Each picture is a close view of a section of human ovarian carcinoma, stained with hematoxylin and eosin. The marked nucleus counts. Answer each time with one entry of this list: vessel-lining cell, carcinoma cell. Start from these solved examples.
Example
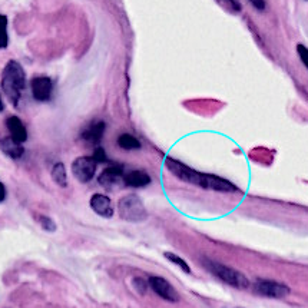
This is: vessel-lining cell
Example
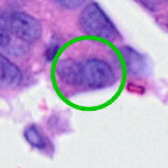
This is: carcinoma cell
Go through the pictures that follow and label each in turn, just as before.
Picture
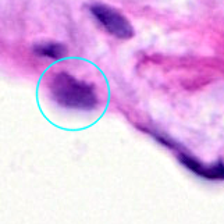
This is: vessel-lining cell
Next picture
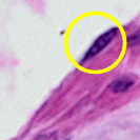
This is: vessel-lining cell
